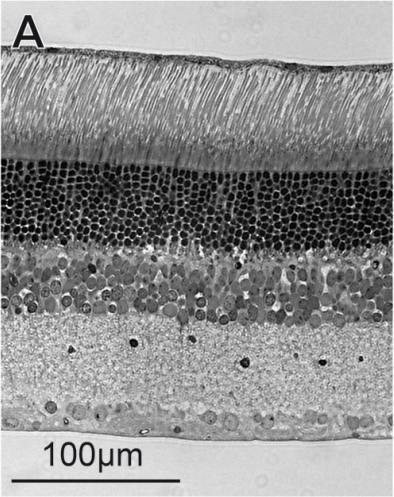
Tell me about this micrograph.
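This transverse section of retina shows its layers stacked from the photoreceptors at the top to the ganglion cells at the bottom. The uppermost band is made of slender, closely packed vertical striations, the inner and outer segments of the photoreceptors. Beneath it lies a thick outer nuclear layer of many rows of small, round, intensely dark nuclei packed tightly together. A thin pale outer plexiform layer separates this from the inner nuclear layer, whose nuclei are larger, paler and less tightly packed. Below lies a broad, pale, finely granular inner plexiform layer with a few scattered dark dots, and at the bottom a single thin row of rounded cells forms the ganglion cell layer.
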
